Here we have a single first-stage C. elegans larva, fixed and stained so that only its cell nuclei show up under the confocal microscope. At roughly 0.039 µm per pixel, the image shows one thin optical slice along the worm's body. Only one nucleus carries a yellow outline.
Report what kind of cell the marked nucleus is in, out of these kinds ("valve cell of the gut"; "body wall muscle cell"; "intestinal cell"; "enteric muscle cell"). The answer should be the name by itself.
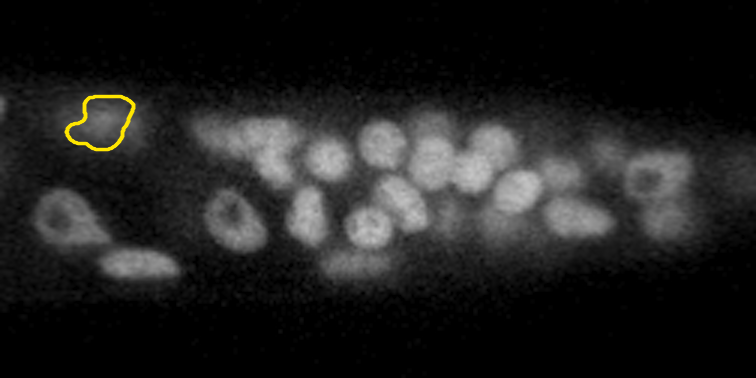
body wall muscle cell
